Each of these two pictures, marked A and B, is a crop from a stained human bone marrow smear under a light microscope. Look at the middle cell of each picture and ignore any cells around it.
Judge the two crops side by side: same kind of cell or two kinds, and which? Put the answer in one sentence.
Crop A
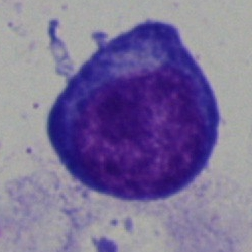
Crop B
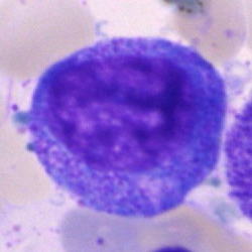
No, crop A shows a proerythroblast, and crop B, by contrast, shows a promyelocyte.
